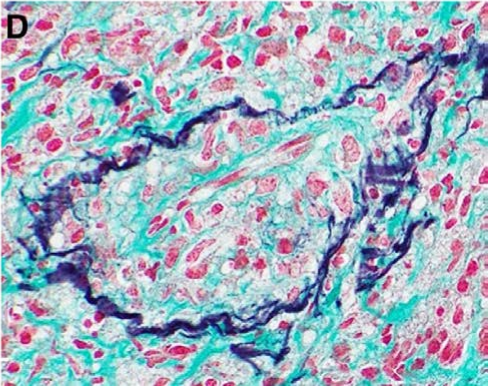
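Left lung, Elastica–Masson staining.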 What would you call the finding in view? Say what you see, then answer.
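Obliterative phlebitis. The space inside the elastic line is filled with cells and fibrous tissue, with no open lumen.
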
